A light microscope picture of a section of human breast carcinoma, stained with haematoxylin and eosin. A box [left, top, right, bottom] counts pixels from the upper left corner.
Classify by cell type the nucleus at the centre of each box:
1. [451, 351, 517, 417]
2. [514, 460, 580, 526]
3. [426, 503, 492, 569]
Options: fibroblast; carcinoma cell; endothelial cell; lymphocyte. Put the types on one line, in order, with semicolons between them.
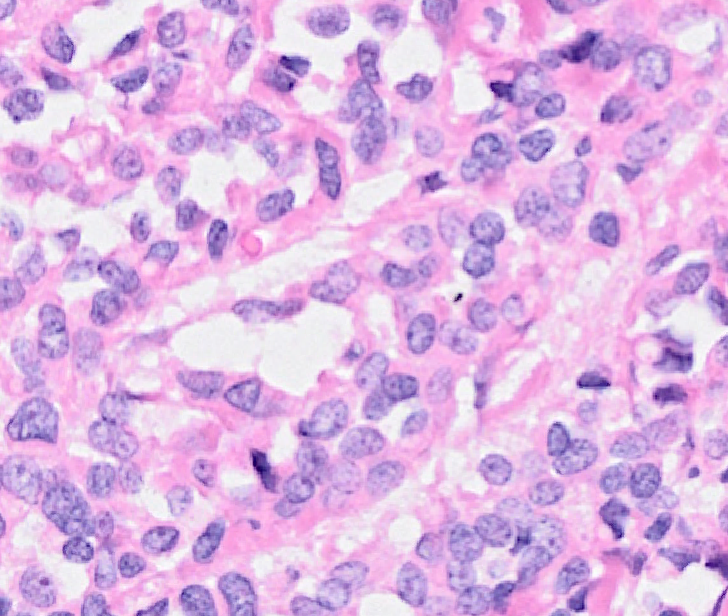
fibroblast; carcinoma cell; carcinoma cell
